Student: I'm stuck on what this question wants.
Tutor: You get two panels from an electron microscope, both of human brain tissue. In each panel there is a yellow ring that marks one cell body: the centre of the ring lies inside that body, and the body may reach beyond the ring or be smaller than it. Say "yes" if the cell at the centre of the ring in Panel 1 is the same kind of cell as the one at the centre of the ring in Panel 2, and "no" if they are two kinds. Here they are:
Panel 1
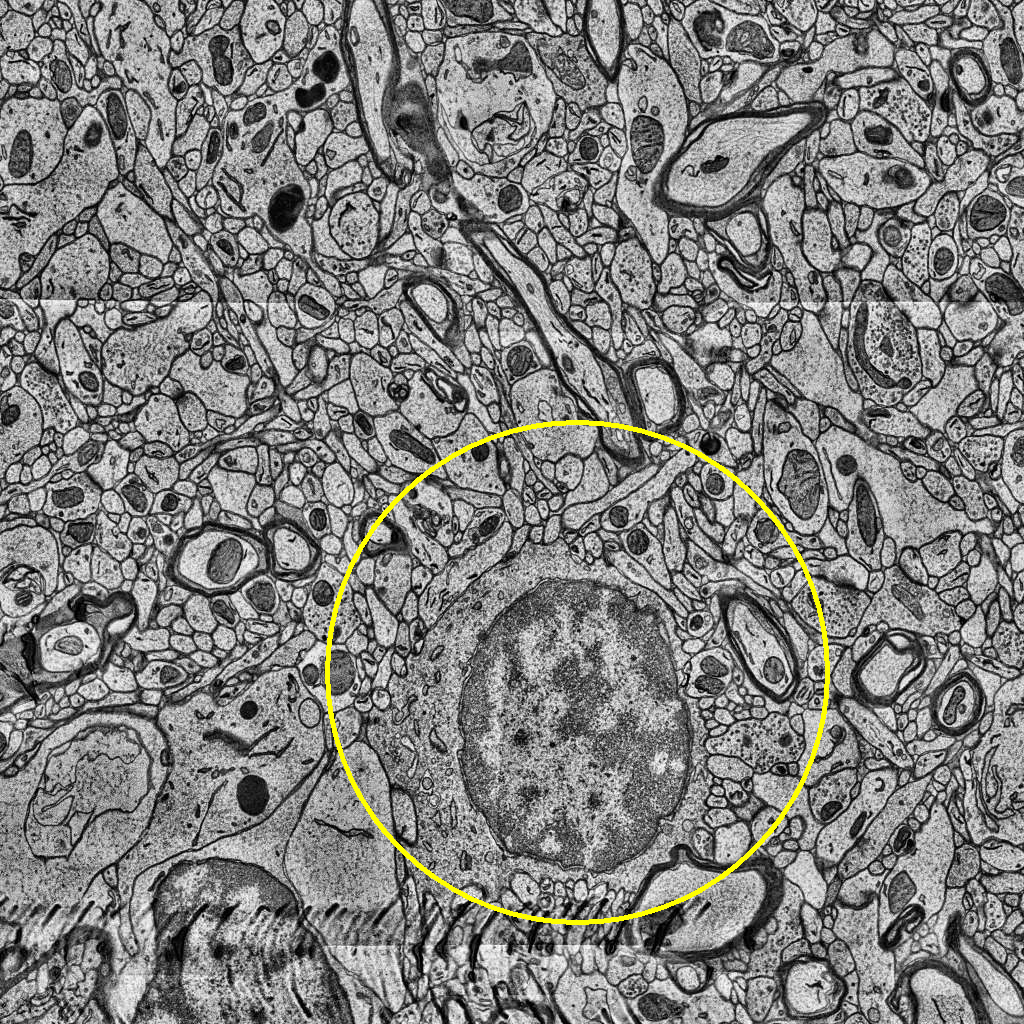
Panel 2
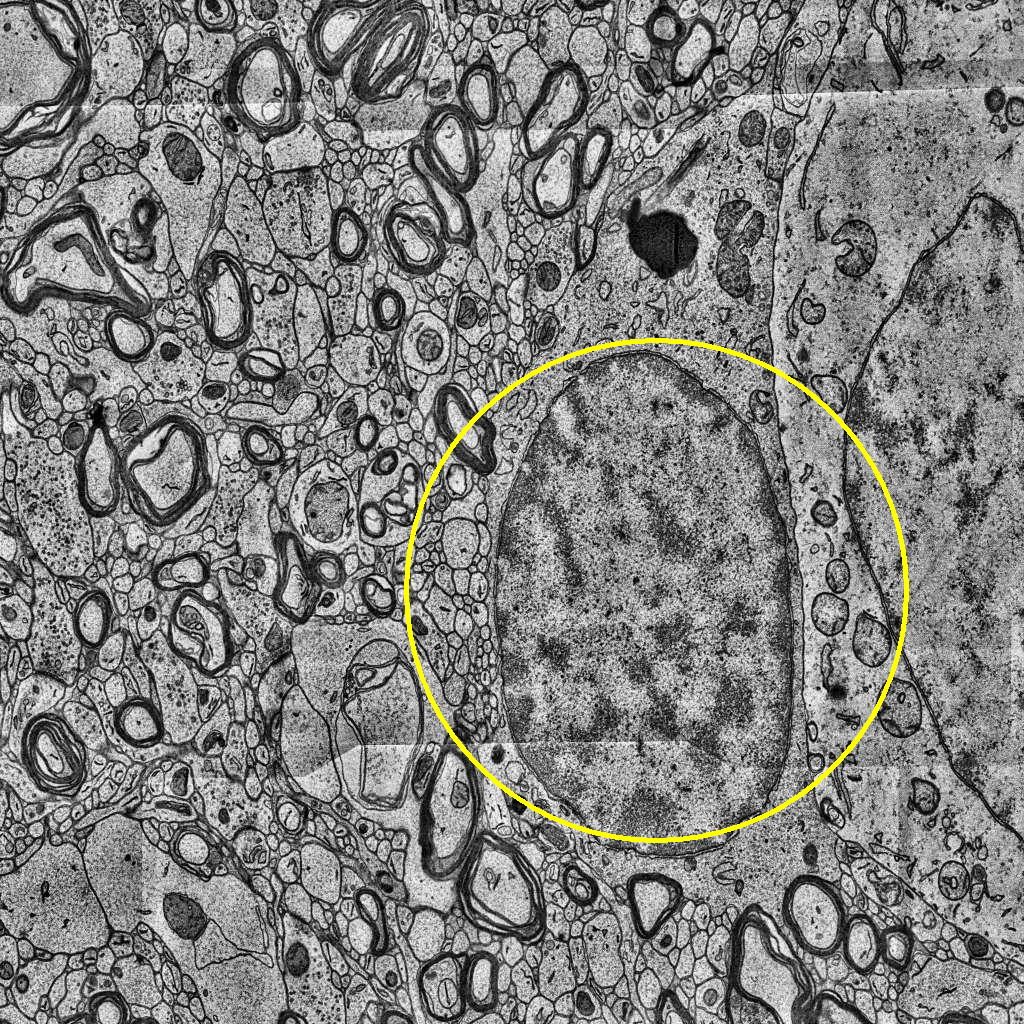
yes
